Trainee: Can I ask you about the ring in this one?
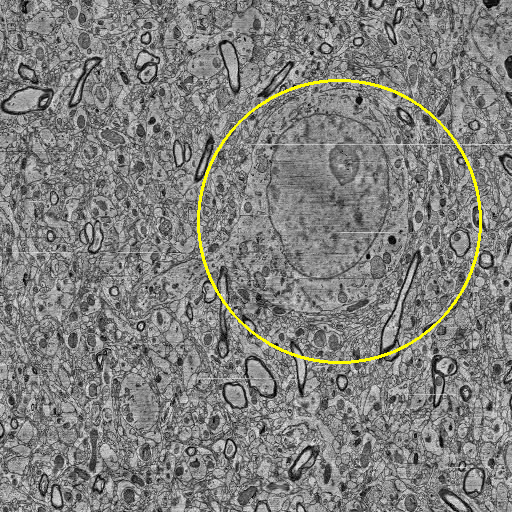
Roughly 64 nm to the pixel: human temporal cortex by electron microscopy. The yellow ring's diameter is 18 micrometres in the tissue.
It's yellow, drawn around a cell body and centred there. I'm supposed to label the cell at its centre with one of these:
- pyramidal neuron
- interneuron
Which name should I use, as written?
pyramidal neuron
